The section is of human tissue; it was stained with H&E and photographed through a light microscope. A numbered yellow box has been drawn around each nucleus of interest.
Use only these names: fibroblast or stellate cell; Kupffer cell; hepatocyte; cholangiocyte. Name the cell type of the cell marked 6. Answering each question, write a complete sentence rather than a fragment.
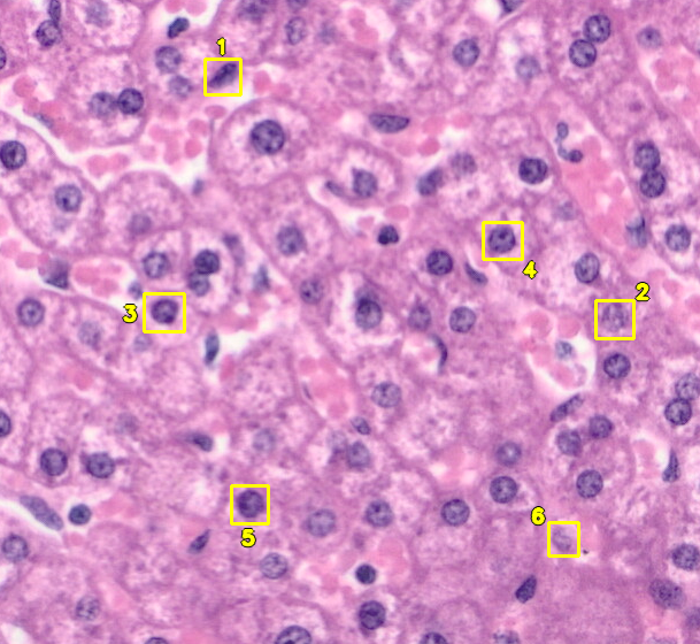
The cell with the number 6 is a Kupffer cell.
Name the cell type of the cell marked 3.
Cell 3 should be recorded as a hepatocyte.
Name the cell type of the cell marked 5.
The mark numbered 5 indicates the nucleus of a hepatocyte.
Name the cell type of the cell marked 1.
In the marked set, the cell given number 1 is a fibroblast or stellate cell.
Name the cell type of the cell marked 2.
The cell marked with the number 2 is a hepatocyte.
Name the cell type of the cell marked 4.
Cell 4, among those numbered, is a hepatocyte.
